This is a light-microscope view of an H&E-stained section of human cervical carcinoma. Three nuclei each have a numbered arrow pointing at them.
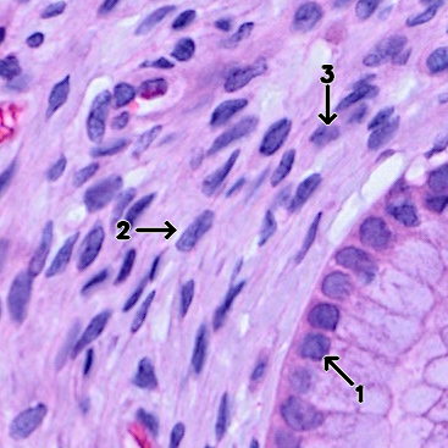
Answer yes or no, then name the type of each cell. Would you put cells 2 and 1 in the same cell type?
No, cell 2 is a fibroblast and cell 1 is a secretory epithelial cell.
